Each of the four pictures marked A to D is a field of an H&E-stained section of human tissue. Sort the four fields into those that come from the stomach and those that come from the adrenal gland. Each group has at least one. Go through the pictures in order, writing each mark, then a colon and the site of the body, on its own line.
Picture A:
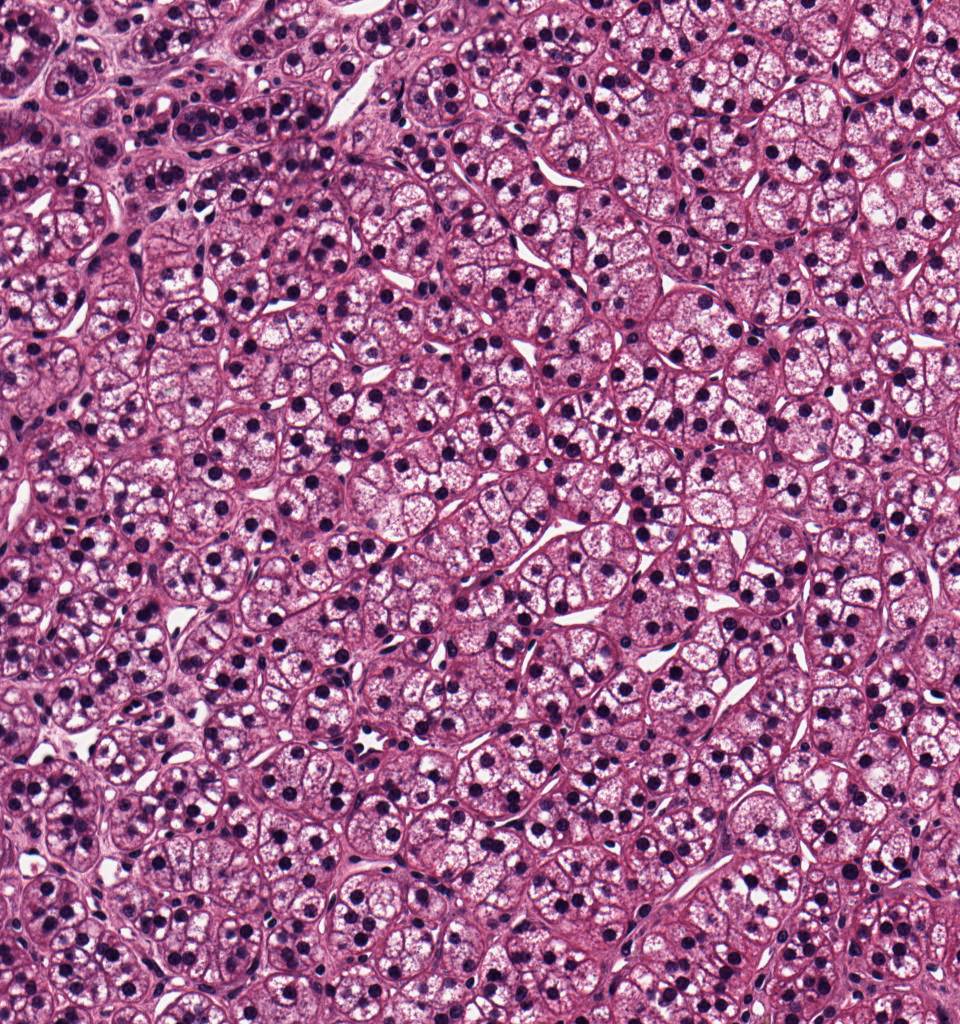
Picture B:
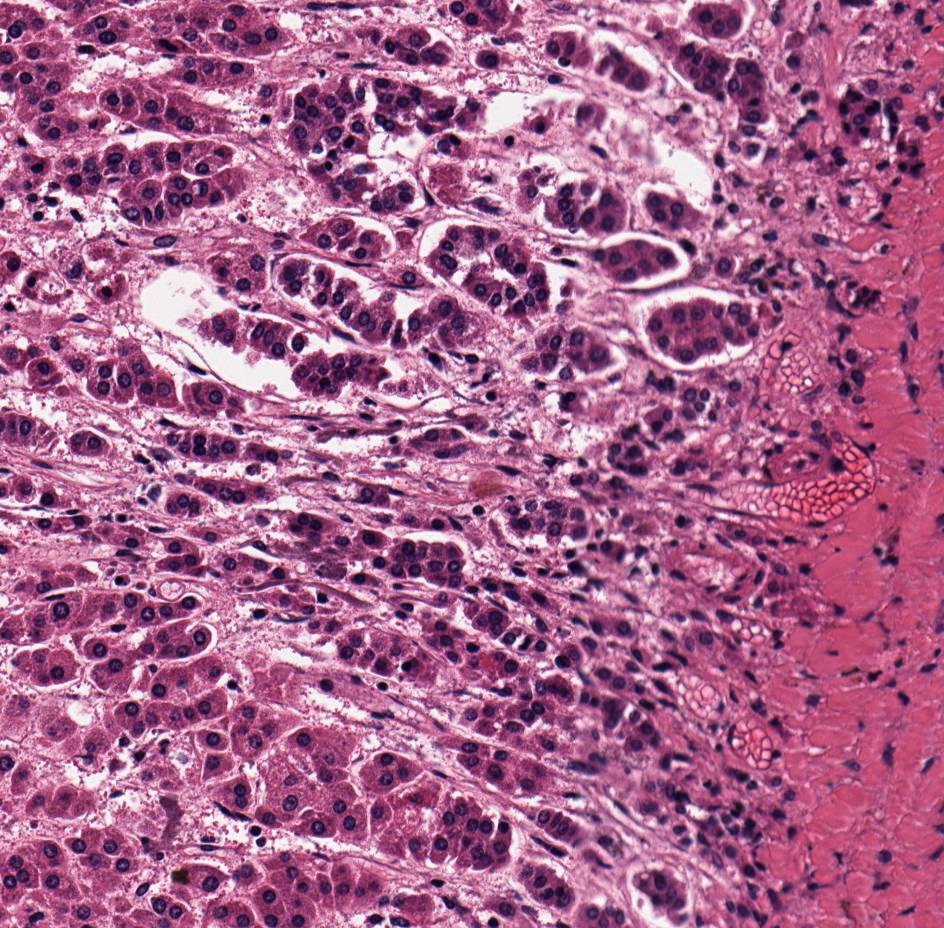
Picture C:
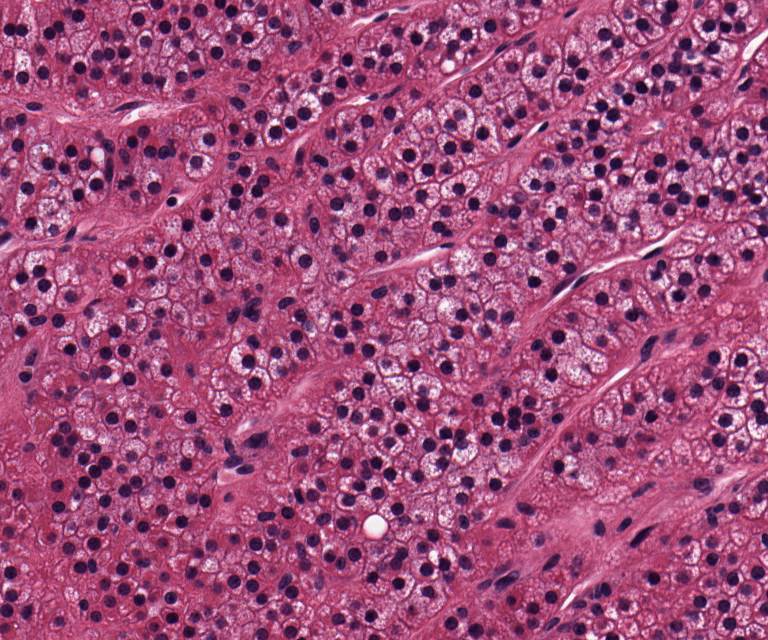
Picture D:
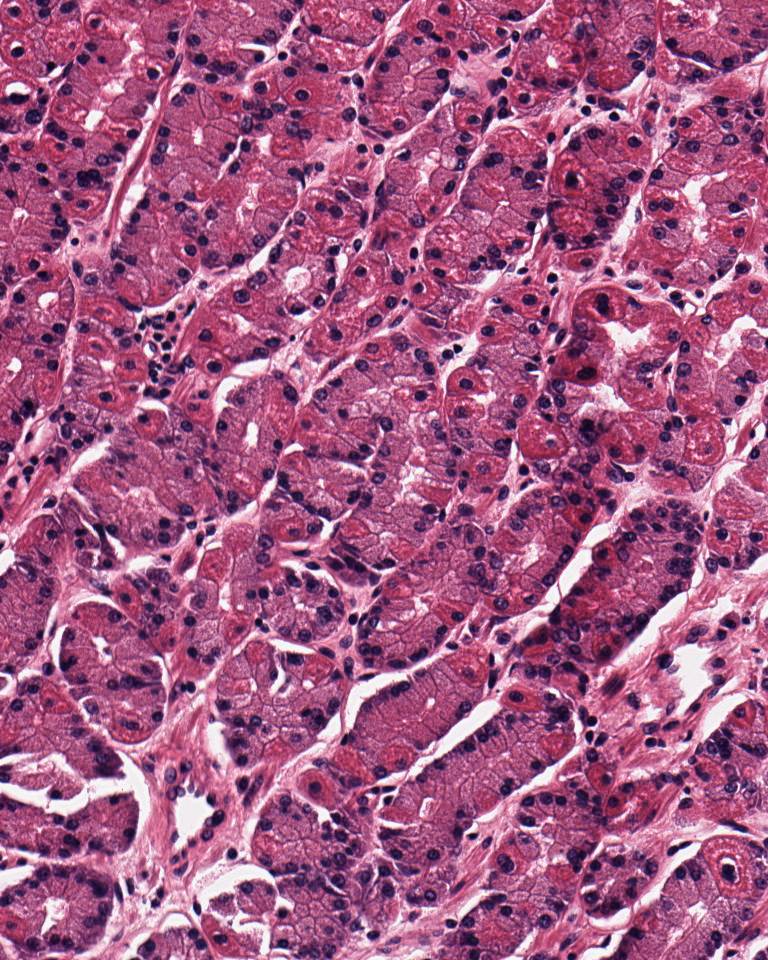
A: adrenal gland
B: adrenal gland
C: adrenal gland
D: stomach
